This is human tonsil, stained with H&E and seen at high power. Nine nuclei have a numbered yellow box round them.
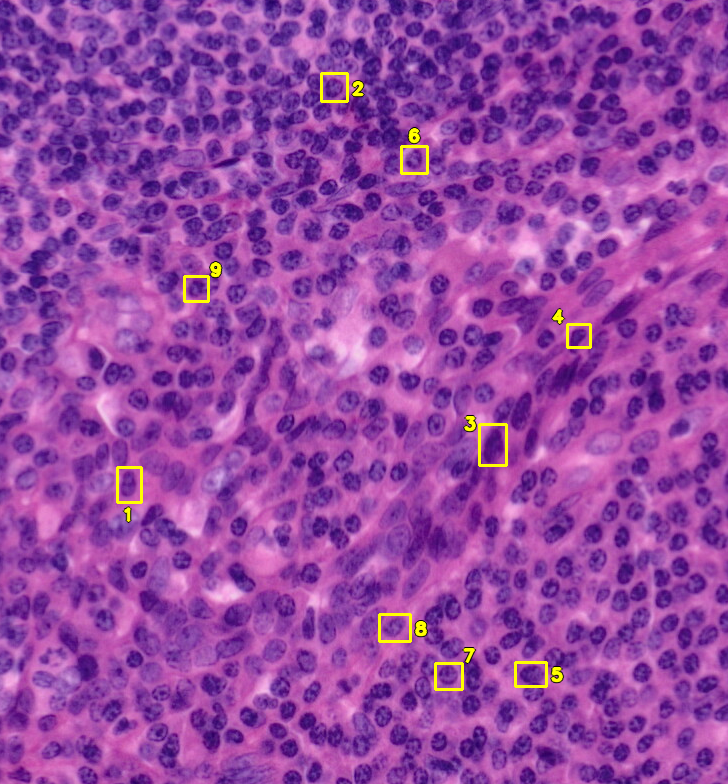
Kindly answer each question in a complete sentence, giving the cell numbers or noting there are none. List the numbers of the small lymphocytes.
Cell 2 is a small lymphocyte, which is true of none of the other numbered cells.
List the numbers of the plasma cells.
The identity of cells 5, 6, 7, 8 and 9: they are plasma cells.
